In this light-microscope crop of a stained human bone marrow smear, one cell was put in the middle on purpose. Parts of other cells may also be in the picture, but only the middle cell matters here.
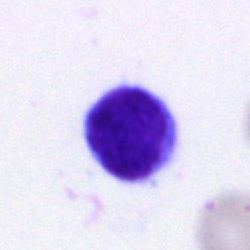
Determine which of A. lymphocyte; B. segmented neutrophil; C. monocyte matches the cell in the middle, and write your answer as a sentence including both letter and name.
This one is option A, since the cell at the center is a lymphocyte.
